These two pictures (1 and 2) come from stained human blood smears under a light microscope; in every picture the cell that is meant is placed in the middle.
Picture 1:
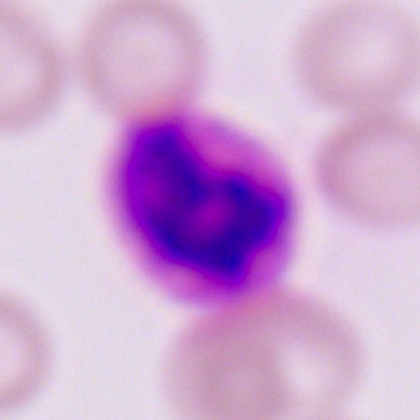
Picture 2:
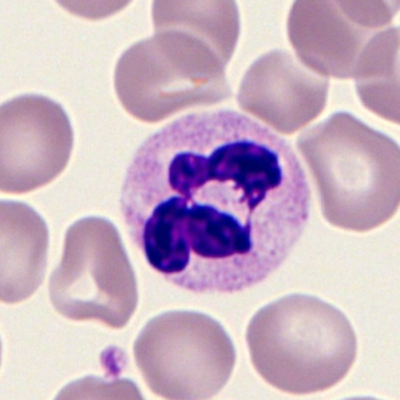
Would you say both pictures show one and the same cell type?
no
